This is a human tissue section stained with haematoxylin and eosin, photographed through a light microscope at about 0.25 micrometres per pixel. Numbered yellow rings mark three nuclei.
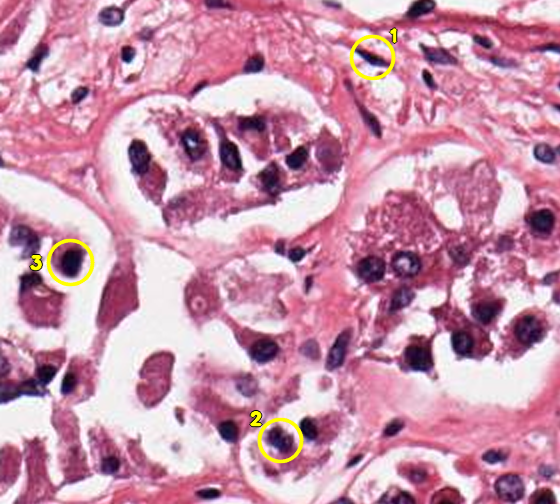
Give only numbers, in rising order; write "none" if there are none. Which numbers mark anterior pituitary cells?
2, 3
